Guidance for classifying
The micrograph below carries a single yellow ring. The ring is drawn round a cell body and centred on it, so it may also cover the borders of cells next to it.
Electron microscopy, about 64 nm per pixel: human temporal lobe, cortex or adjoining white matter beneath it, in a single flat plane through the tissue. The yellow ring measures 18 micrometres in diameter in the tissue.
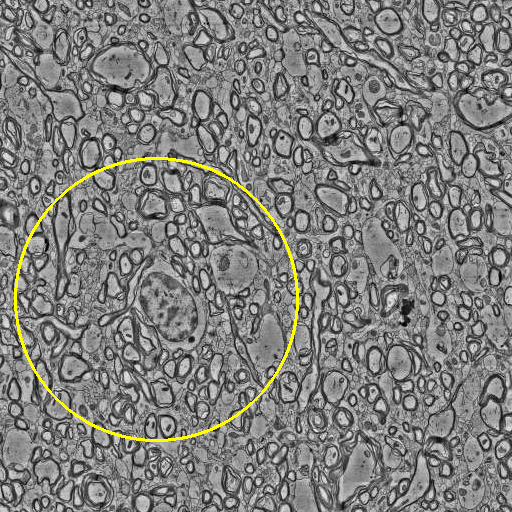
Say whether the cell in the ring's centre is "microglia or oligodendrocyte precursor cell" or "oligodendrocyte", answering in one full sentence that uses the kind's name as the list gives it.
Within the yellow ring, a microglial cell or oligodendrocyte precursor cell is the cell whose body sits at the centre.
